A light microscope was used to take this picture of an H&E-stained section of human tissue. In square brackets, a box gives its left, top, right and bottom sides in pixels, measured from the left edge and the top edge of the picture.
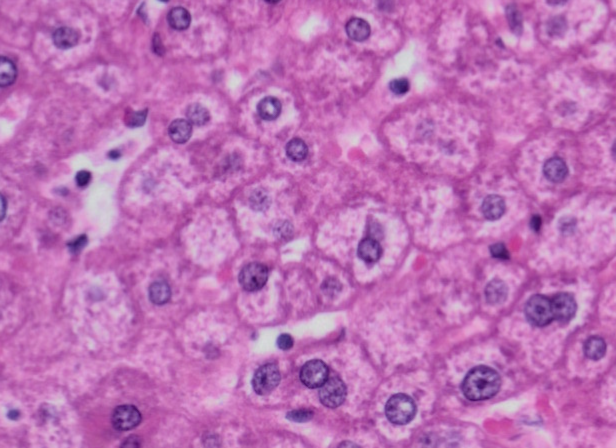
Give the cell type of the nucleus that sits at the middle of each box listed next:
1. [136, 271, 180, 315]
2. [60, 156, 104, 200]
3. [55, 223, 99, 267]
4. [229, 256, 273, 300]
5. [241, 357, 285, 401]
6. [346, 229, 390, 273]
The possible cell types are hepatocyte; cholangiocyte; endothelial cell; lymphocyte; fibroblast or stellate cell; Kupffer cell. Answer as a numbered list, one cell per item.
1. hepatocyte
2. lymphocyte
3. endothelial cell
4. hepatocyte
5. hepatocyte
6. hepatocyte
